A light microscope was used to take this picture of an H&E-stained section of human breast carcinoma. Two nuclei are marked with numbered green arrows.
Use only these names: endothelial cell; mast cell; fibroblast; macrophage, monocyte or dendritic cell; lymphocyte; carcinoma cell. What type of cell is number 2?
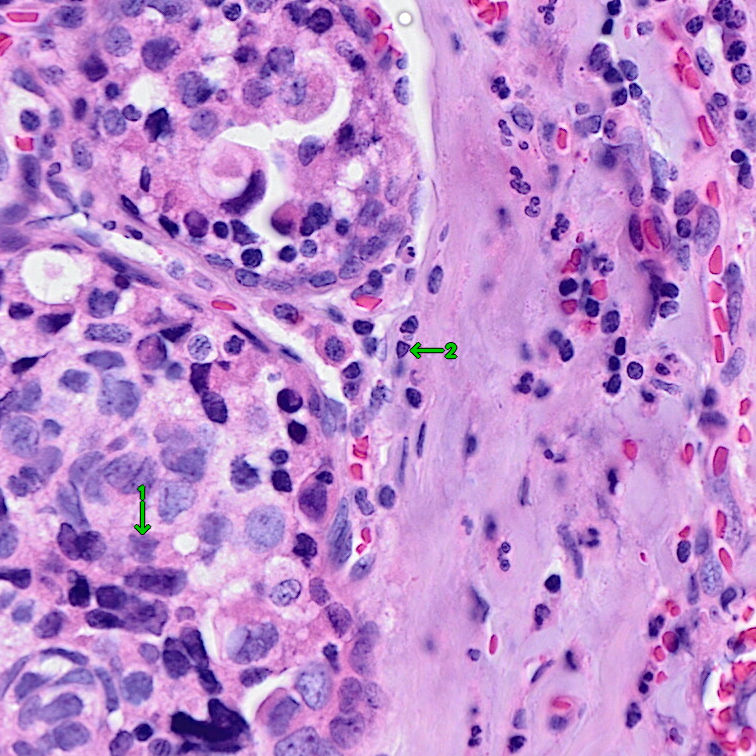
lymphocyte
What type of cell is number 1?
carcinoma cell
